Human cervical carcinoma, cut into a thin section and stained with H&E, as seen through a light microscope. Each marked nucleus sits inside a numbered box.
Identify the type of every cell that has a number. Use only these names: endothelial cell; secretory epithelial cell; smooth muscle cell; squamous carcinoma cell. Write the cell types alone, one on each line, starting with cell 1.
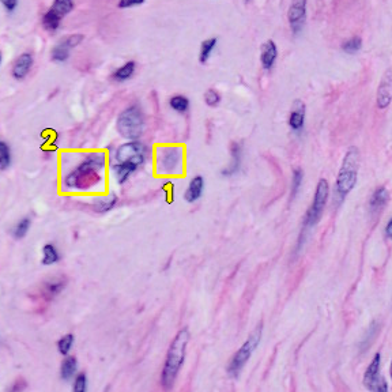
smooth muscle cell
endothelial cell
